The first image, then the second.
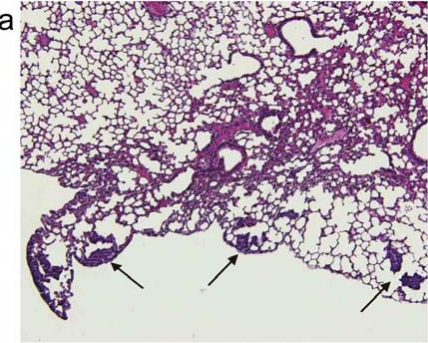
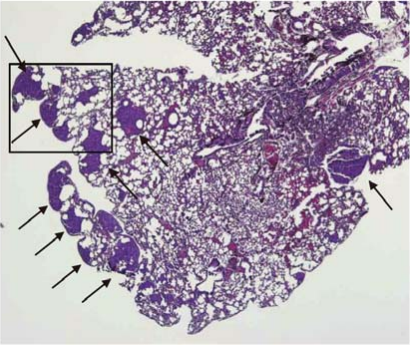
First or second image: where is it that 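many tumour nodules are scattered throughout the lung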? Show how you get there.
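The second image. Second image: numerous large, dense purple nodules line the lung margin and lie within it. First image: only a few small purple foci sit at the lung edge.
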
